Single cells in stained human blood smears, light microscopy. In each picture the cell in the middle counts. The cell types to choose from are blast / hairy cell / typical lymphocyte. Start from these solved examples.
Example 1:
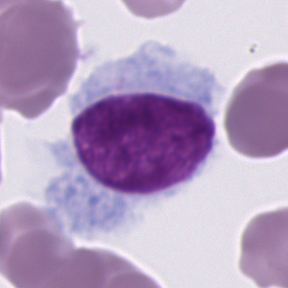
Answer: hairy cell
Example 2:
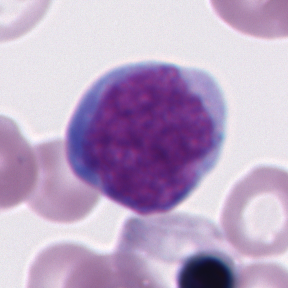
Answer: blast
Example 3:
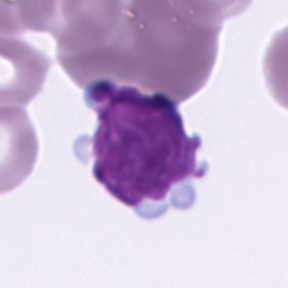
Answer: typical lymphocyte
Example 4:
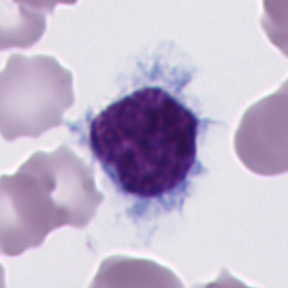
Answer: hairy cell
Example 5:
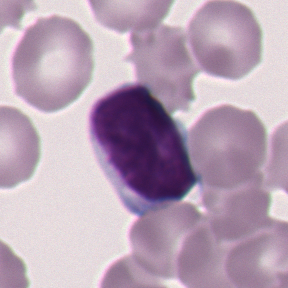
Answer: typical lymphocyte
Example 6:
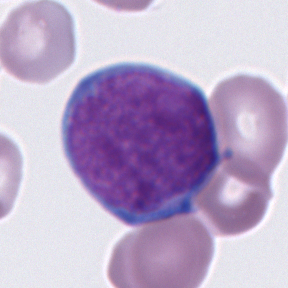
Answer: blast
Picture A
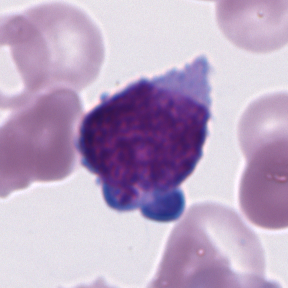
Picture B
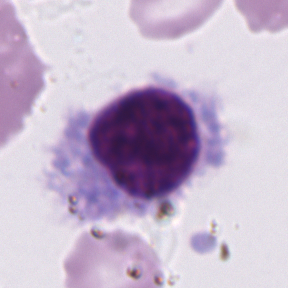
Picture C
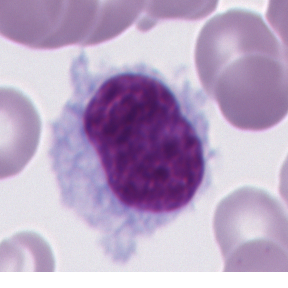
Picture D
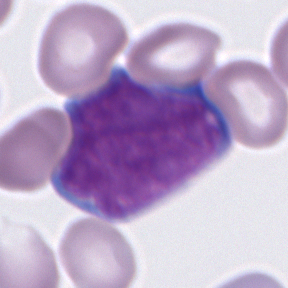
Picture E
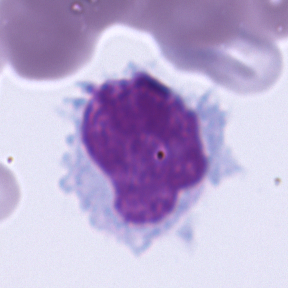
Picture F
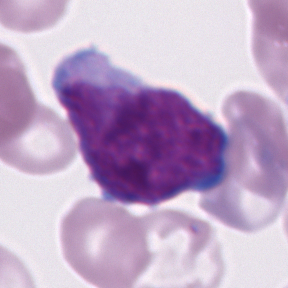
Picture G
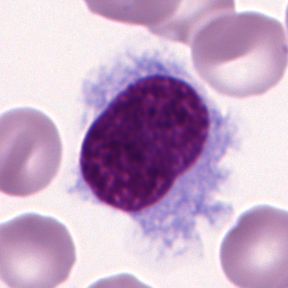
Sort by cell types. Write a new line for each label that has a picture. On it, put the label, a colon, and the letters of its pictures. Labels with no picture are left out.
blast: A, D, F
hairy cell: B, C, E, G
